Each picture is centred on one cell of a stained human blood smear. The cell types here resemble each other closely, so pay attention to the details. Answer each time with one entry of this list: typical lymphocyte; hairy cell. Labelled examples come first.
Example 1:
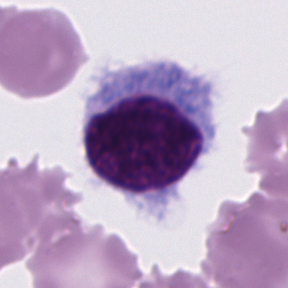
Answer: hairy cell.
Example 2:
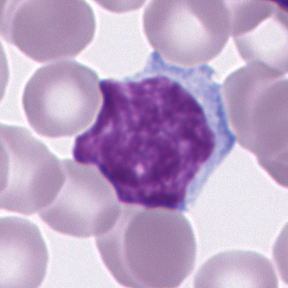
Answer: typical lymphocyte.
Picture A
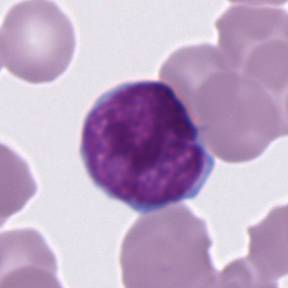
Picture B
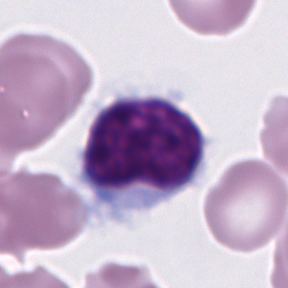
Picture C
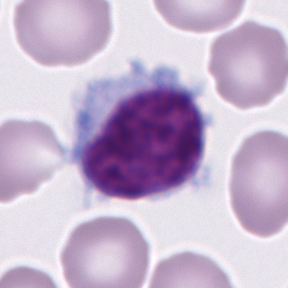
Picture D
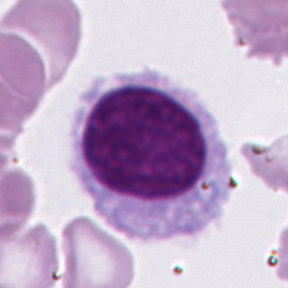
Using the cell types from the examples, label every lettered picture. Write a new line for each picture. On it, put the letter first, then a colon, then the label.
A: typical lymphocyte.
B: hairy cell.
C: hairy cell.
D: hairy cell.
